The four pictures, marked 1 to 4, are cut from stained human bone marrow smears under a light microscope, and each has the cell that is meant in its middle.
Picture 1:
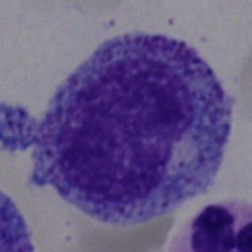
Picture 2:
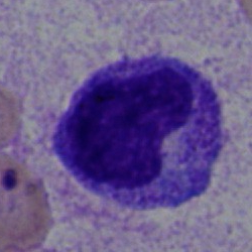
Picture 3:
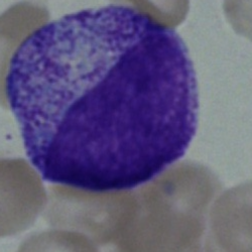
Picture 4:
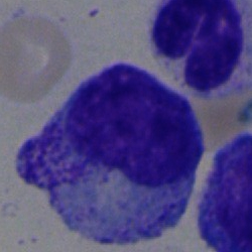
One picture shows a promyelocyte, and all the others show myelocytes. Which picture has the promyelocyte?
1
